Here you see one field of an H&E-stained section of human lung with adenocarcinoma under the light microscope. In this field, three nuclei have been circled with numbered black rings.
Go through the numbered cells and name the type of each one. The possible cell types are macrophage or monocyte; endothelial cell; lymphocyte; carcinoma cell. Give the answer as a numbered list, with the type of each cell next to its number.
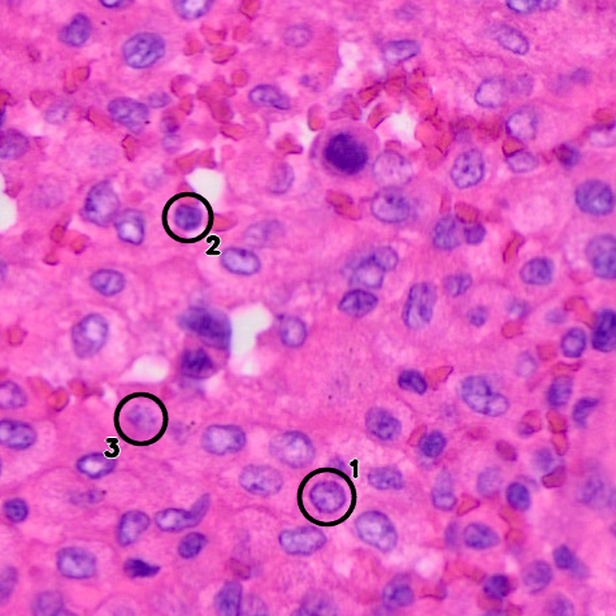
1. macrophage or monocyte
2. lymphocyte
3. macrophage or monocyte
